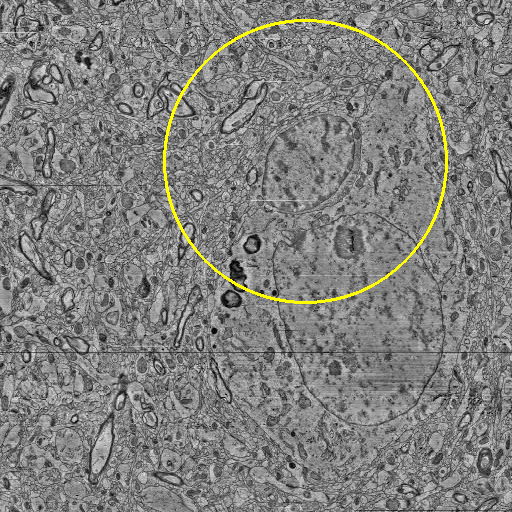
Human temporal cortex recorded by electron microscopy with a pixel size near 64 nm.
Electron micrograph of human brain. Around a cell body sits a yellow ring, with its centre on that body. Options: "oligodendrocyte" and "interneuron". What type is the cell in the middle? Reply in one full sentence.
The cell sitting at the centre of the yellow ring is an oligodendrocyte.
